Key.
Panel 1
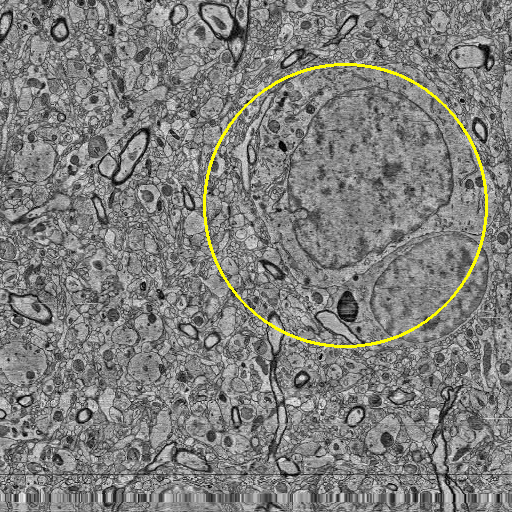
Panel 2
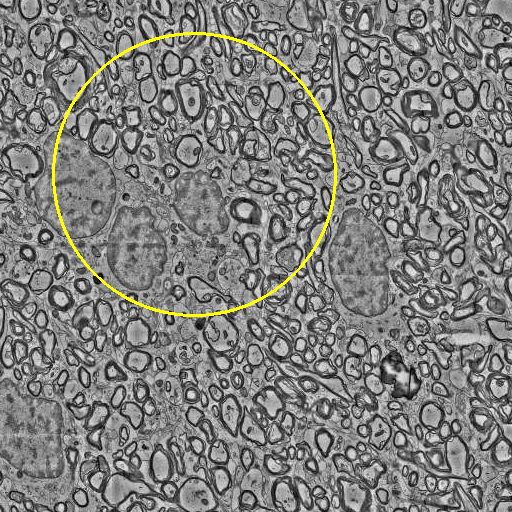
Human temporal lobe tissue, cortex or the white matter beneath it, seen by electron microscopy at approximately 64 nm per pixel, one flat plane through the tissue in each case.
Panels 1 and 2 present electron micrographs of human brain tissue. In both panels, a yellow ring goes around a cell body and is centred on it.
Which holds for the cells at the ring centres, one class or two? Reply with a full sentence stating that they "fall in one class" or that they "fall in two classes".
Taken together, the ring-centre cells of the two panels fall in two classes.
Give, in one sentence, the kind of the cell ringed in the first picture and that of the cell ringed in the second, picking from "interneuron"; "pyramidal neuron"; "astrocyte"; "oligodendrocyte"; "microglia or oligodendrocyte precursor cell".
For the first picture it is an interneuron; for the second, an oligodendrocyte.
